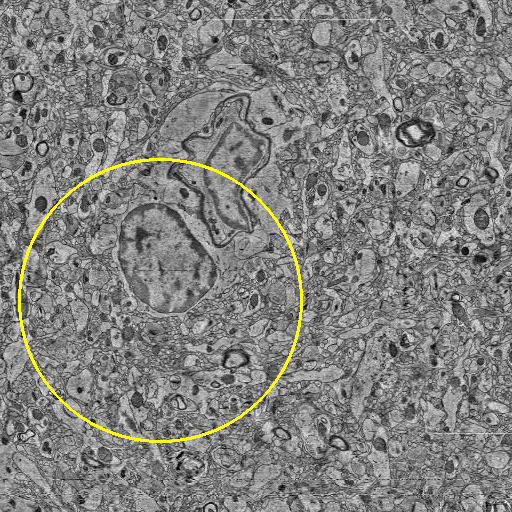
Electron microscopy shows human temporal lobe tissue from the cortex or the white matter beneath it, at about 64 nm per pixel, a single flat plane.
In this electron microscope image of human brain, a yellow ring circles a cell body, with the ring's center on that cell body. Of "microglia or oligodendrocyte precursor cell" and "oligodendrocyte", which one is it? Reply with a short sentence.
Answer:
It is a microglial cell or oligodendrocyte precursor cell at the center of the ring.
